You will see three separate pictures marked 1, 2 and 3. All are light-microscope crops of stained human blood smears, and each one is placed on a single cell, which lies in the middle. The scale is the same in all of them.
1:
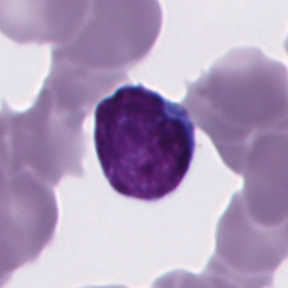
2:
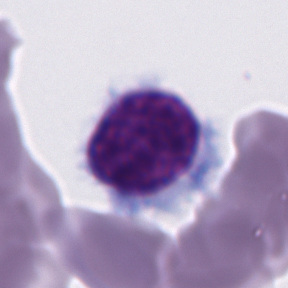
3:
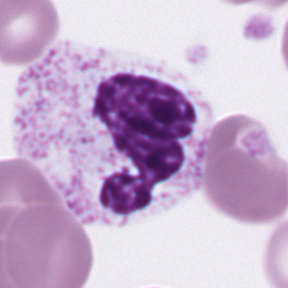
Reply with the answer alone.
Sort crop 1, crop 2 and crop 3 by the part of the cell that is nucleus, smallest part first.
3, 2, 1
